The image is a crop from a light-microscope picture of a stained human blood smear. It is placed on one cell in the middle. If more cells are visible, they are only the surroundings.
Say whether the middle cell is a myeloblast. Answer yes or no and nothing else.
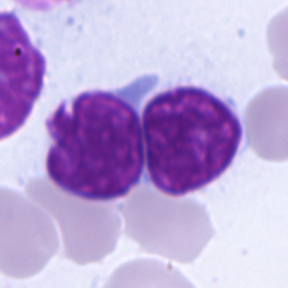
yes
